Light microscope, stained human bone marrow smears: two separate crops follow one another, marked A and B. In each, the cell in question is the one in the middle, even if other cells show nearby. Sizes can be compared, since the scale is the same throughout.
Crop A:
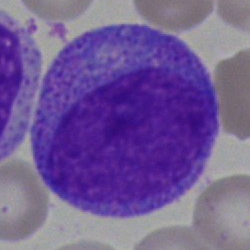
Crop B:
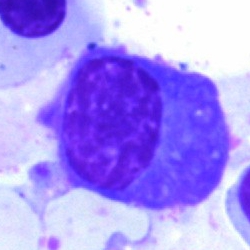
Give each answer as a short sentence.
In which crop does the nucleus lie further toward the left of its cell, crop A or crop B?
In crop B the nucleus is shifted more toward the left.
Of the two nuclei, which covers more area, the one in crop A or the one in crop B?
Crop A shows the larger nucleus; it covers about 1.5 times the area of the nucleus in crop B.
